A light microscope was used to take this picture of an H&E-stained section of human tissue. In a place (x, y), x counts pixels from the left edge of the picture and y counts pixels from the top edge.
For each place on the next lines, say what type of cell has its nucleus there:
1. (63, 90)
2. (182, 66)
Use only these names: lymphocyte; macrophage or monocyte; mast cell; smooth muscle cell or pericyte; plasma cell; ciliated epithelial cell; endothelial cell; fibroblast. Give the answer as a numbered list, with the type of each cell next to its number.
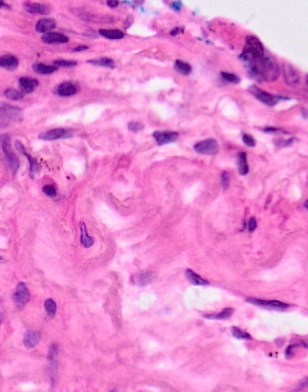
1. plasma cell
2. lymphocyte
